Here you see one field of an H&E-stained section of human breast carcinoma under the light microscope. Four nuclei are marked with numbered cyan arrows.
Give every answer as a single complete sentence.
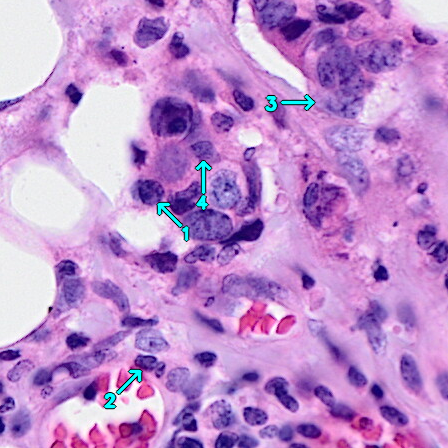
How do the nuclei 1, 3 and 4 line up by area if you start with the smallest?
Smallest first, the nuclei run 4, 1, 3.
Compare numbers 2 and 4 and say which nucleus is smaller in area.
The smaller nucleus is 2, and 4 covers roughly 1.5 times its area.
